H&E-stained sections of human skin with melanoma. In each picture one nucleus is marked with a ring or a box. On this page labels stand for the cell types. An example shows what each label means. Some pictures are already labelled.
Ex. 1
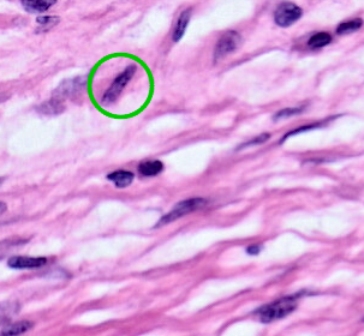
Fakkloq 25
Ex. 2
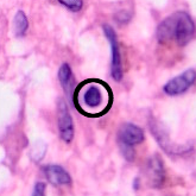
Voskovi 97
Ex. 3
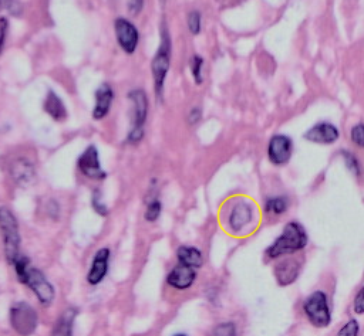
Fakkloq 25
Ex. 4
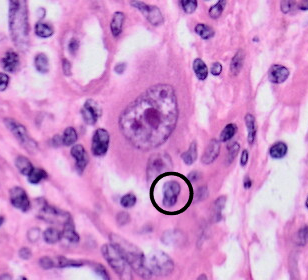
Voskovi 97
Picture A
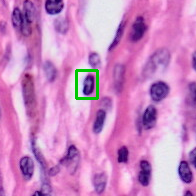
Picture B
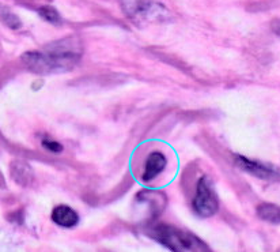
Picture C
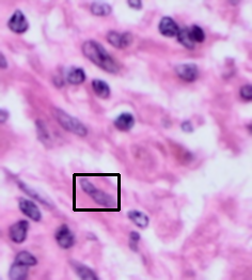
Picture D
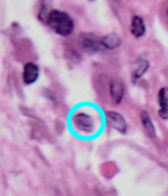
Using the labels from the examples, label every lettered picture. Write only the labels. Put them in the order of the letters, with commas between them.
Voskovi 97, Voskovi 97, Fakkloq 25, Voskovi 97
